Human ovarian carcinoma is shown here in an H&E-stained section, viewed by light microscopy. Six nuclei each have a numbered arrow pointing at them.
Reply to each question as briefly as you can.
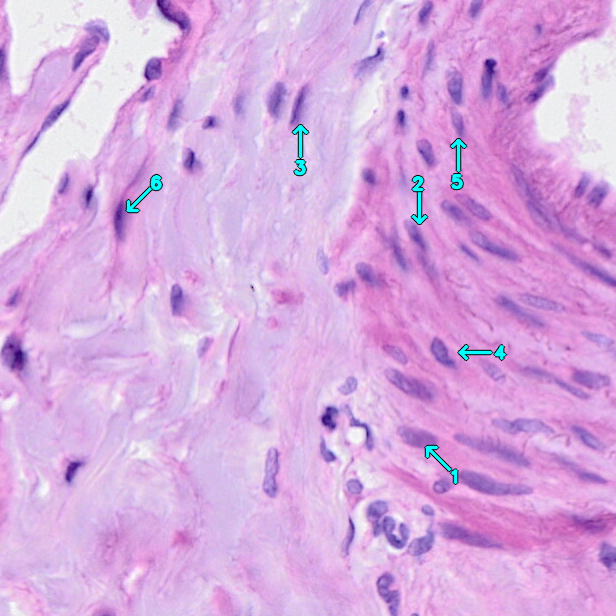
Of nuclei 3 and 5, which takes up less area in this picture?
5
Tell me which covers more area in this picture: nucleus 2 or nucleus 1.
1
